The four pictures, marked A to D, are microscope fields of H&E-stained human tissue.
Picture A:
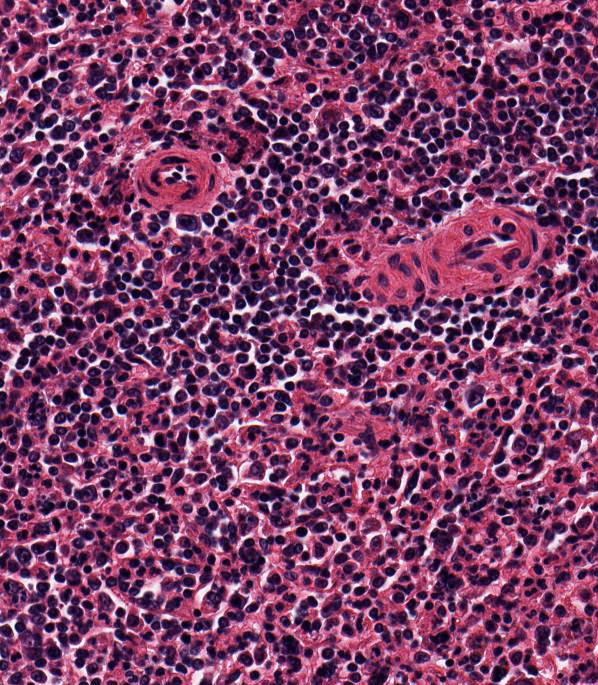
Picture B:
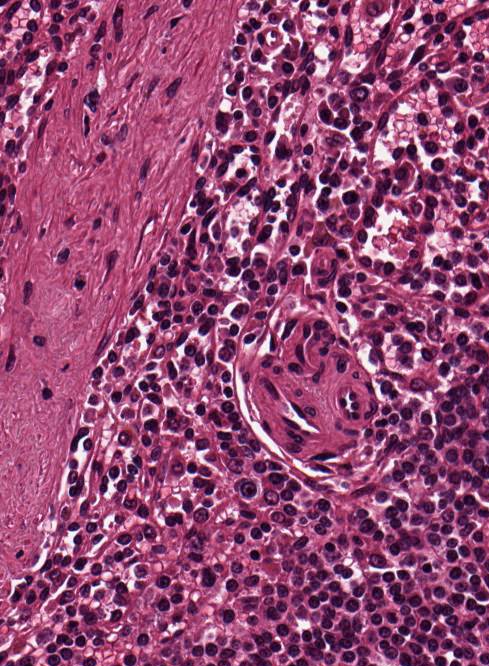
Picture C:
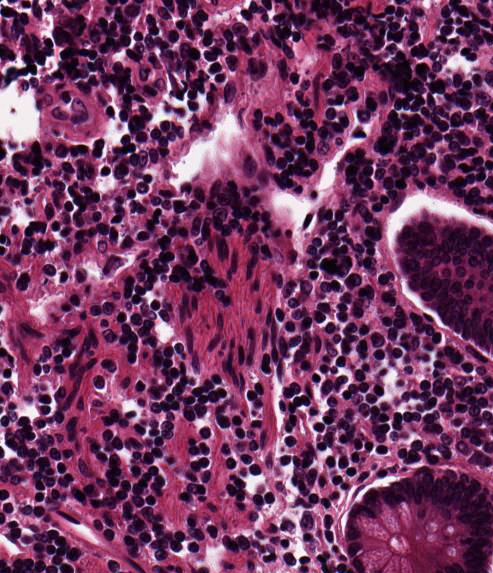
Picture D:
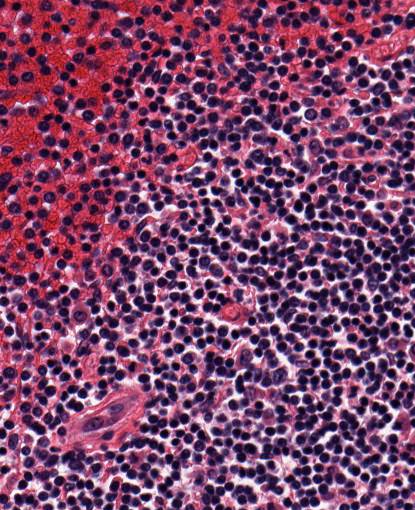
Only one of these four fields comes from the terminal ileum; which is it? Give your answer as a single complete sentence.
Picture C is the field that comes from the terminal ileum.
